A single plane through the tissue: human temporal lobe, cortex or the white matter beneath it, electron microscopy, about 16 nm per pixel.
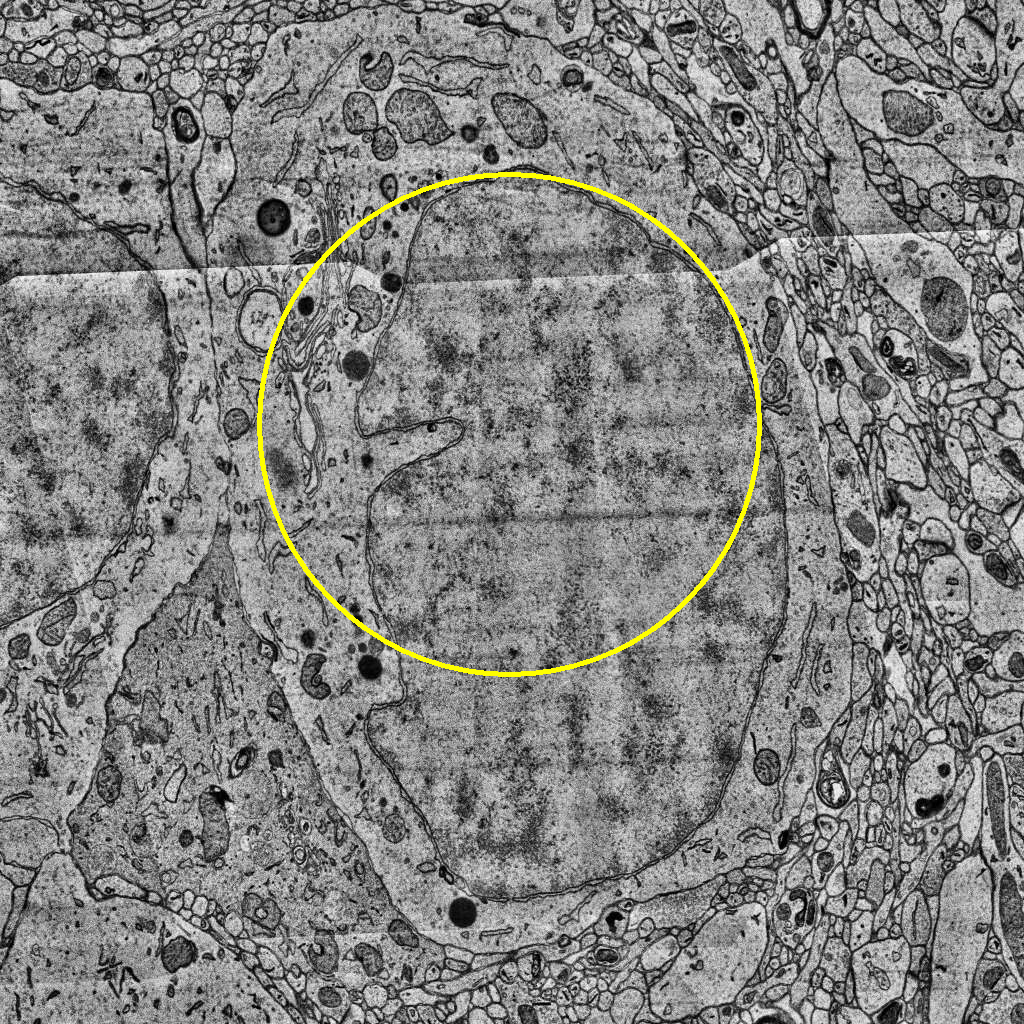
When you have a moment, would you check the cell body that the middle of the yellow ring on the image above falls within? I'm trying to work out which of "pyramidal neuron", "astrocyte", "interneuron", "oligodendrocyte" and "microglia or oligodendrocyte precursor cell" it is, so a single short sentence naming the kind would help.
This cell body belongs to an interneuron.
